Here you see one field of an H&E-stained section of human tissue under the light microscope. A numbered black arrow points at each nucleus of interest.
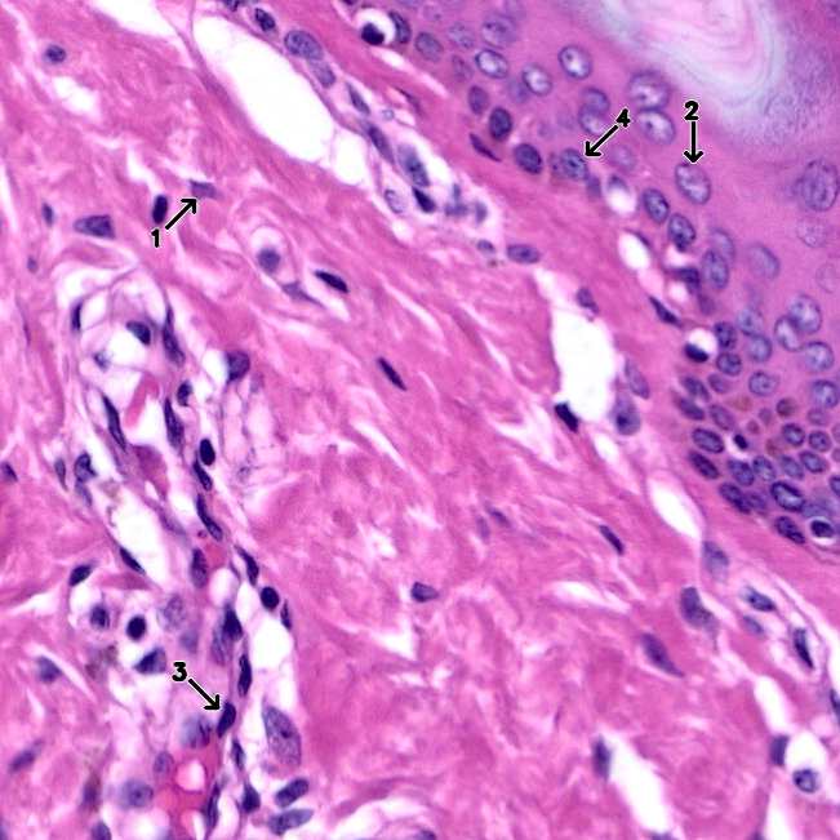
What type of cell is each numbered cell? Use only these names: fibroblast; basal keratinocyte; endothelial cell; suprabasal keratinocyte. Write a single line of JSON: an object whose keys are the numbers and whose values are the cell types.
{"1": "fibroblast", "2": "suprabasal keratinocyte", "3": "endothelial cell", "4": "basal keratinocyte"}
